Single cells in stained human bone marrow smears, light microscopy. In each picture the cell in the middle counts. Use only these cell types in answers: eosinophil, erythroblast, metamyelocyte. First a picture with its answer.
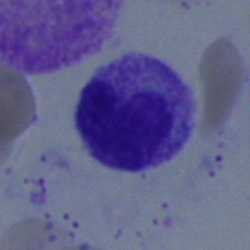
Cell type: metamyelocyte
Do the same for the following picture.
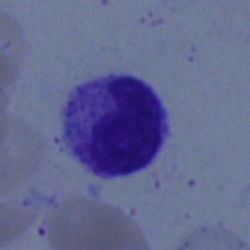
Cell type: metamyelocyte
